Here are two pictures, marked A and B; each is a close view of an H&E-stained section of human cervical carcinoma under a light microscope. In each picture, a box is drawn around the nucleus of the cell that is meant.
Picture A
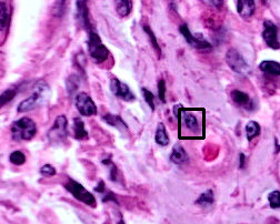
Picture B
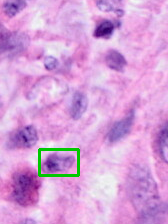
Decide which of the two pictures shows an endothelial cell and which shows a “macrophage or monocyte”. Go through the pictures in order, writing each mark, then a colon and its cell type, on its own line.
A: endothelial cell
B: macrophage or monocyte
